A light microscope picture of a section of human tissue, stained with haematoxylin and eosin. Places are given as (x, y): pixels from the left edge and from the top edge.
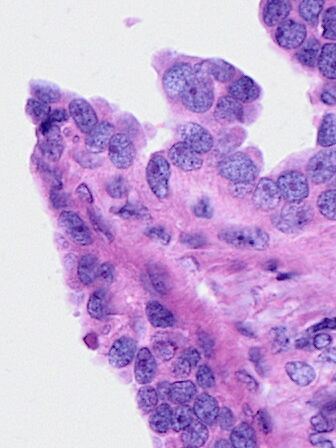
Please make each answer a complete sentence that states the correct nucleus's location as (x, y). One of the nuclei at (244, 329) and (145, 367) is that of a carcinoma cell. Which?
Of the two nuclei, it is the one at (145, 367) that lies within a carcinoma cell.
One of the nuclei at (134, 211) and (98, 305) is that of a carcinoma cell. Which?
The nucleus at (98, 305), rather than the other, belongs to a carcinoma cell.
